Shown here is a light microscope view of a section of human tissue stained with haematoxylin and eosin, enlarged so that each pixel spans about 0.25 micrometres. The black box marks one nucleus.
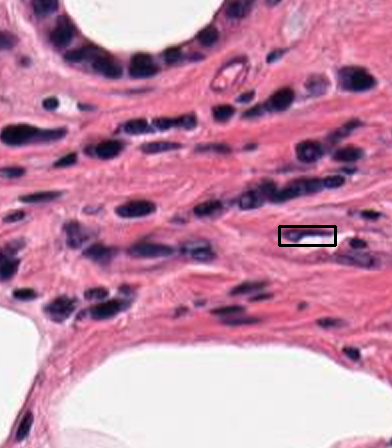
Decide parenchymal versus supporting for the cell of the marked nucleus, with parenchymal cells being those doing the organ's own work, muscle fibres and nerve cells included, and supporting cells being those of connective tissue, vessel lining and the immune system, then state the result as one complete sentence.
In the section shown, the marked nucleus belongs to a supporting cell.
